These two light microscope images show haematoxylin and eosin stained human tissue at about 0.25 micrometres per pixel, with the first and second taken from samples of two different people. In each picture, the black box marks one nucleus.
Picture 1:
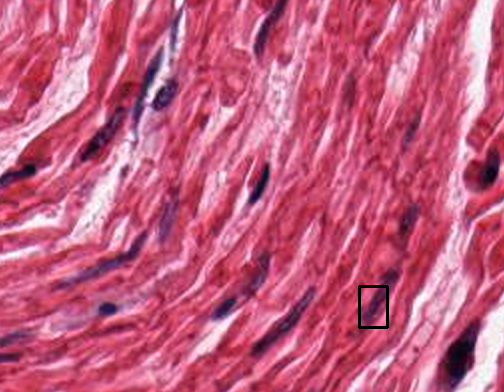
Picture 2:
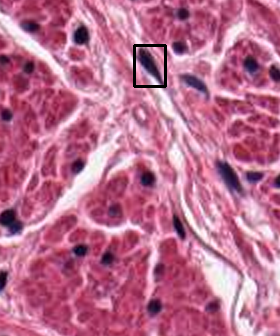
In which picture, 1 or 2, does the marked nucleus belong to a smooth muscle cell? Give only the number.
1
